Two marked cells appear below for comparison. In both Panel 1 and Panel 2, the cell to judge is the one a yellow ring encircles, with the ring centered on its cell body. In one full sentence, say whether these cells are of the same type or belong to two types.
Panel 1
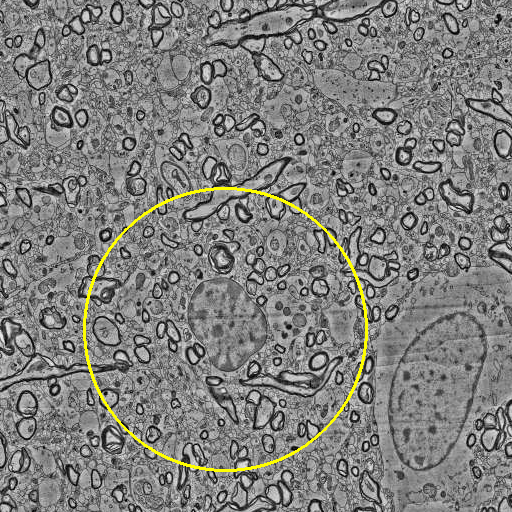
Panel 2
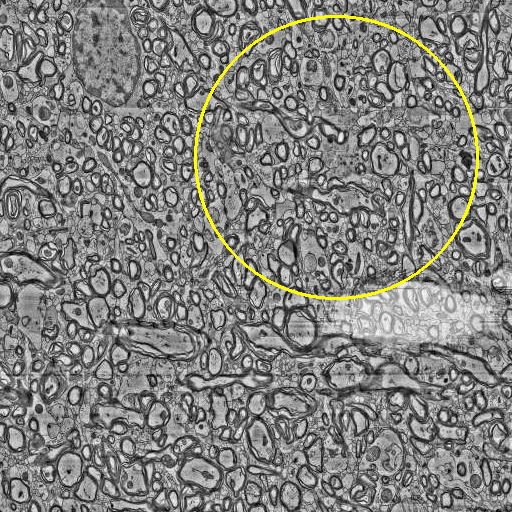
The cell centered in the Panel 1 ring and the one in Panel 2 belong to two types.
